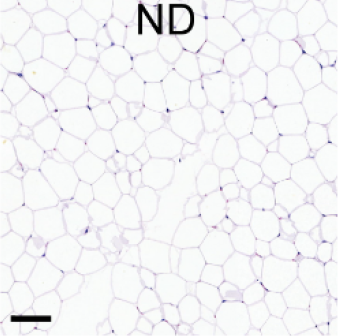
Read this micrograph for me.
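This section of adipose tissue is made almost entirely of large, rounded to polygonal fat cells packed together like a honeycomb. Nuclei are few, small and flattened against the cell borders. Between the fat cells there is very little stroma.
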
